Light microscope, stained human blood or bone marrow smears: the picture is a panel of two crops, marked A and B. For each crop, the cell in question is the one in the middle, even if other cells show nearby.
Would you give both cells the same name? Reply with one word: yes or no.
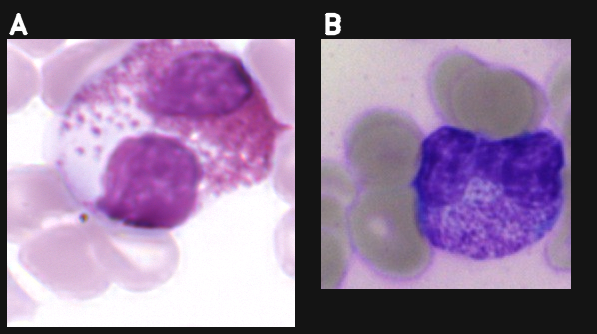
no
